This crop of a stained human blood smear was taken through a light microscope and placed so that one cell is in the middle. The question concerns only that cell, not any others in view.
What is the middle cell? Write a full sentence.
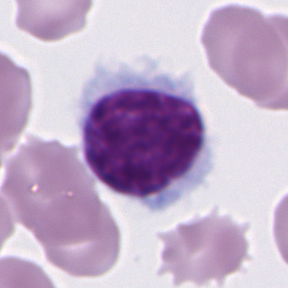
The cell found in the middle of this crop is a hairy cell.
